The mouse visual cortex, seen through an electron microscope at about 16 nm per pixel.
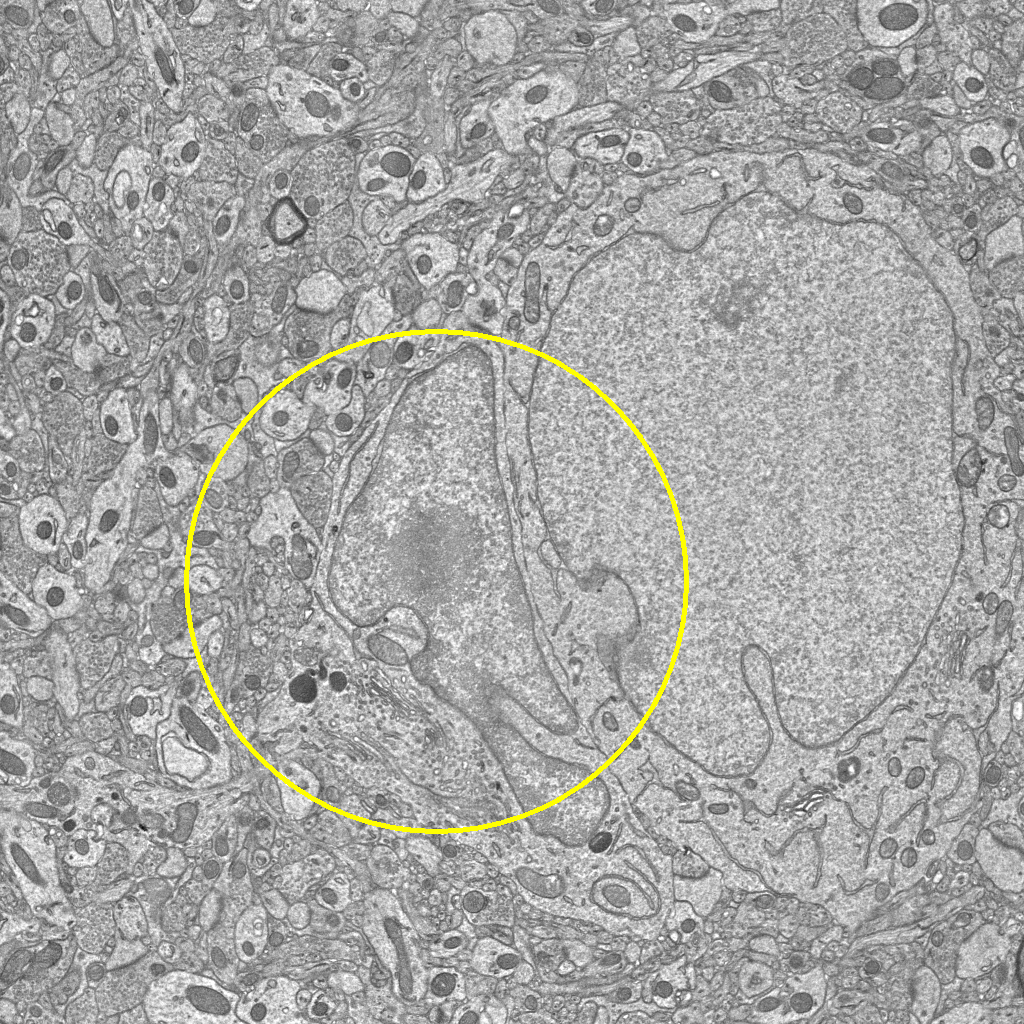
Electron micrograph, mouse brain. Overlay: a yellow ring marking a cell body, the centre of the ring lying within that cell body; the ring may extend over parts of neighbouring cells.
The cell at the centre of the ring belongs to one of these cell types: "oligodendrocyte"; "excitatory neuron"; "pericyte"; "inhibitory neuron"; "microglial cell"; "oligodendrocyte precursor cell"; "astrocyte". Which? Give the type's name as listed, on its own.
oligodendrocyte precursor cell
